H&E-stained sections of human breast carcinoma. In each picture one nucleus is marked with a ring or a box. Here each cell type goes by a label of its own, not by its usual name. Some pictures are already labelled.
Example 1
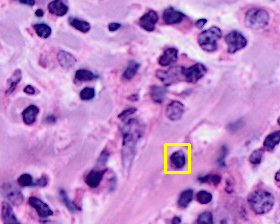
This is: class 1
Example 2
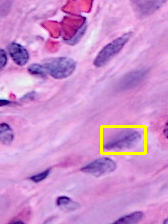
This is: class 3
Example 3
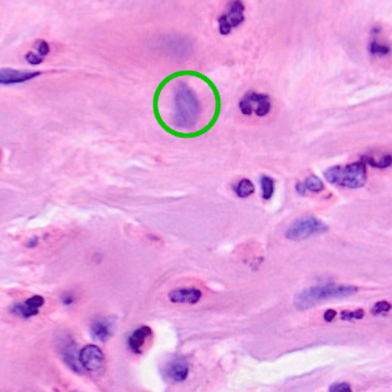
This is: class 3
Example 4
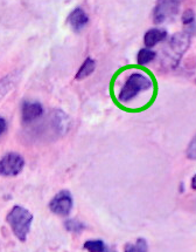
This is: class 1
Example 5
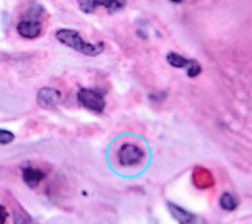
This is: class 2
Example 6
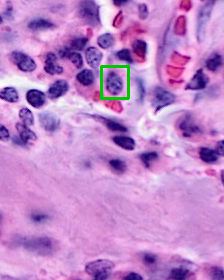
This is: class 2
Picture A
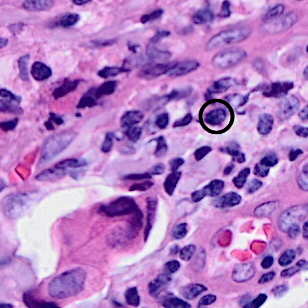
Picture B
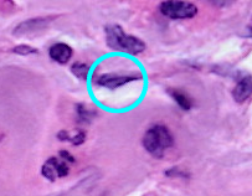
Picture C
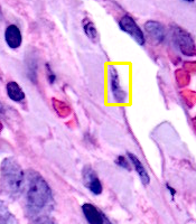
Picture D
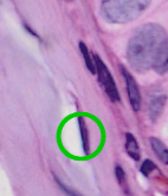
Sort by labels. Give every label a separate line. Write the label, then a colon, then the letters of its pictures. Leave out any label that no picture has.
class 1: A
class 3: B, C, D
